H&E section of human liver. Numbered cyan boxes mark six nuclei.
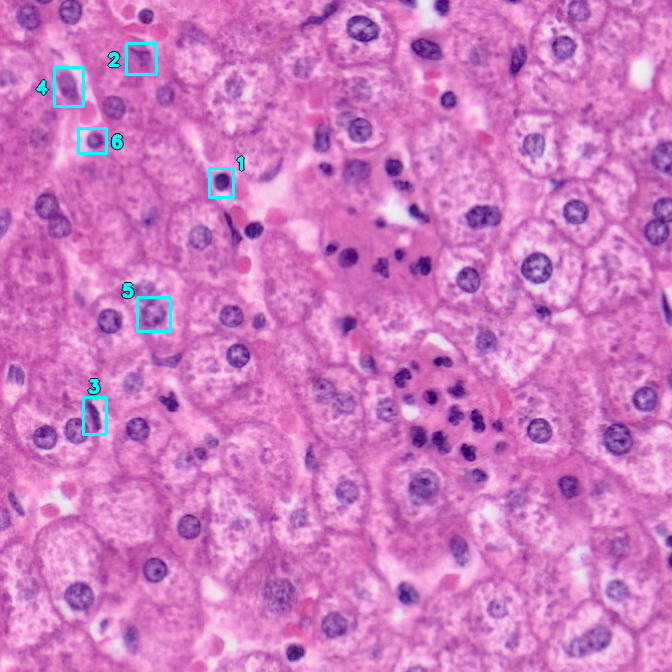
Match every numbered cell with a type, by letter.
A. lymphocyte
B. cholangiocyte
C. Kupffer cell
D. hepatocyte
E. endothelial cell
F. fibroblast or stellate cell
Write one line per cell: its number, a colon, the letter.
1: A
2: E
3: E
4: C
5: D
6: A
